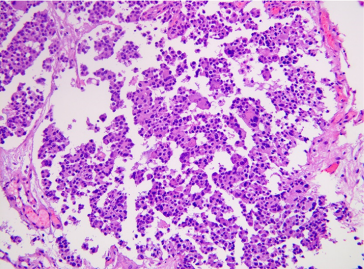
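This is tumor tissue made of crowded, fairly uniform cells growing in nests and irregular clusters. The clusters are separated by thin, pink strands of fibrous stroma, and clear spaces lie between many of the cell groups, giving a loosely cohesive look. The cells are round to polygonal with a modest rim of pink to purplish cytoplasm. At the edges of the field, denser pink collagen bands run through the tissue.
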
